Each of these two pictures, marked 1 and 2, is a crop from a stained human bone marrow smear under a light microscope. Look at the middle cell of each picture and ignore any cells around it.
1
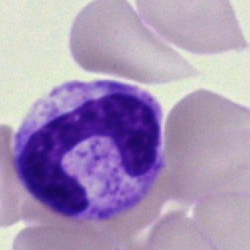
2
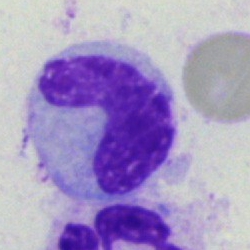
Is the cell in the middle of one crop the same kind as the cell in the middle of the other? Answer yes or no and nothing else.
yes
